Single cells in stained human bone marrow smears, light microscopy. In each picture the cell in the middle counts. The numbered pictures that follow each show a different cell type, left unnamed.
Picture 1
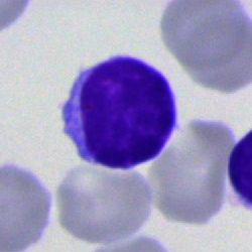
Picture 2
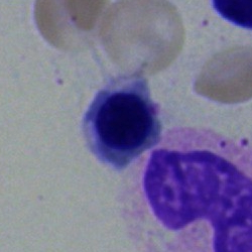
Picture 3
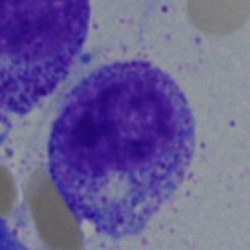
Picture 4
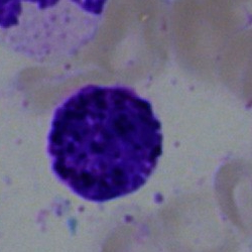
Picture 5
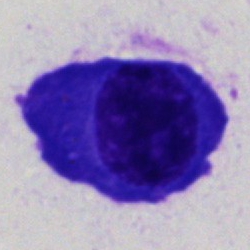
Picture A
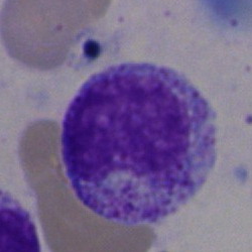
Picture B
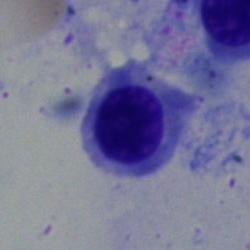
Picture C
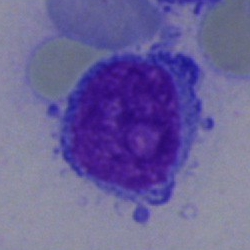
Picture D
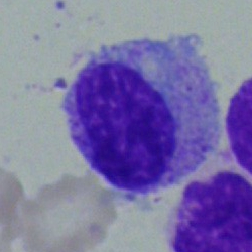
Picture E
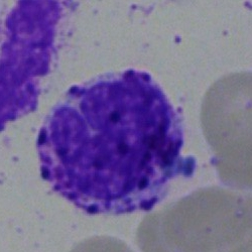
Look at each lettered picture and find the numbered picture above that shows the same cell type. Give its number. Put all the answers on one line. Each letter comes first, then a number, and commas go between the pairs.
A 3, B 2, C 1, D 3, E 4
